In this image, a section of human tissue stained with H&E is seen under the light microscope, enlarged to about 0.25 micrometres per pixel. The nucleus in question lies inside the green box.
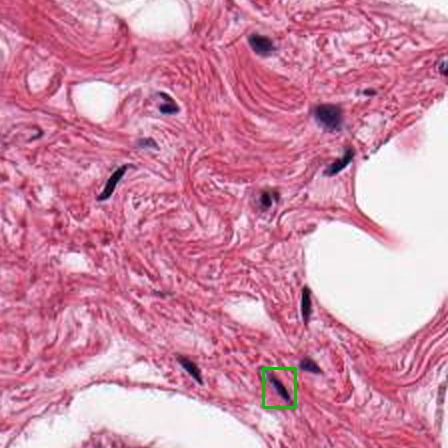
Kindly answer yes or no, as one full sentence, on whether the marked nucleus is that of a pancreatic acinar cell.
No, as for the marked nucleus, it belongs to a supporting cell and not to a pancreatic acinar cell.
